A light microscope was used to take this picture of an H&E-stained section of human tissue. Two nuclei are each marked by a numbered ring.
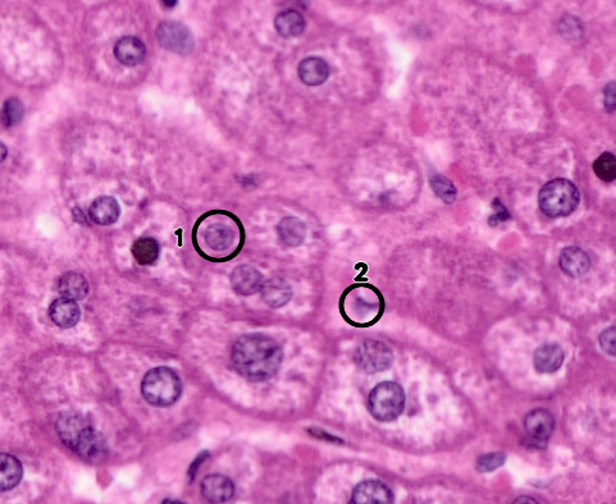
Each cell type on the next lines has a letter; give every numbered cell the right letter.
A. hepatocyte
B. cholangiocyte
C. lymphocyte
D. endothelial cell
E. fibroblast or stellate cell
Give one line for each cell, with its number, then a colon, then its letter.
1: A
2: D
